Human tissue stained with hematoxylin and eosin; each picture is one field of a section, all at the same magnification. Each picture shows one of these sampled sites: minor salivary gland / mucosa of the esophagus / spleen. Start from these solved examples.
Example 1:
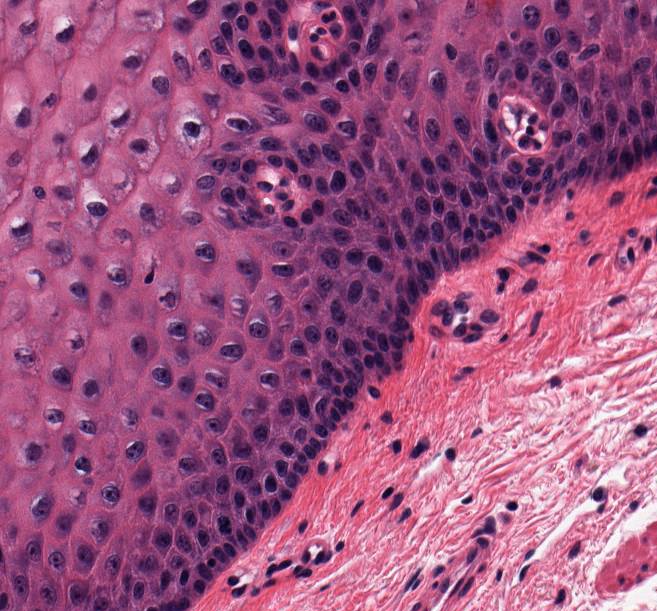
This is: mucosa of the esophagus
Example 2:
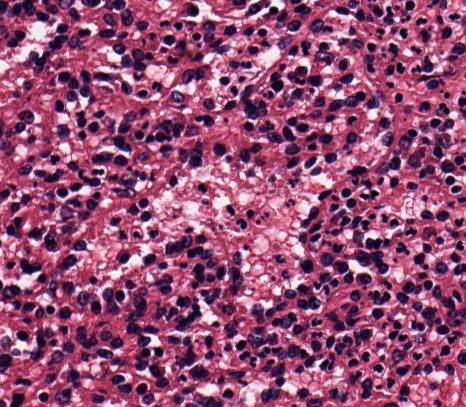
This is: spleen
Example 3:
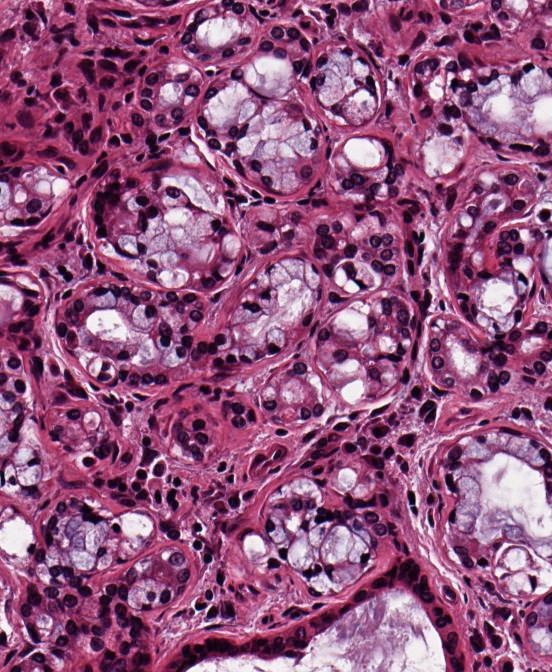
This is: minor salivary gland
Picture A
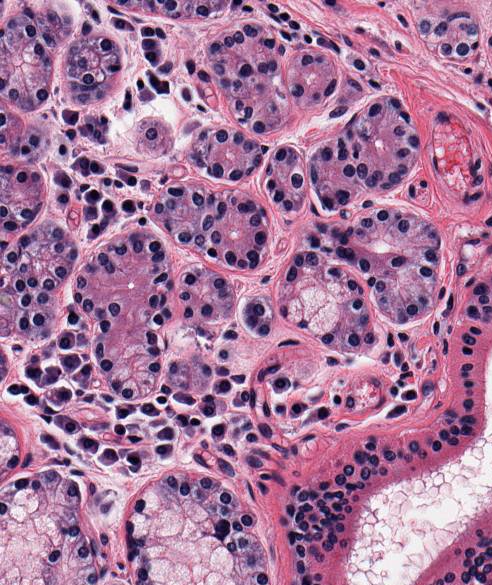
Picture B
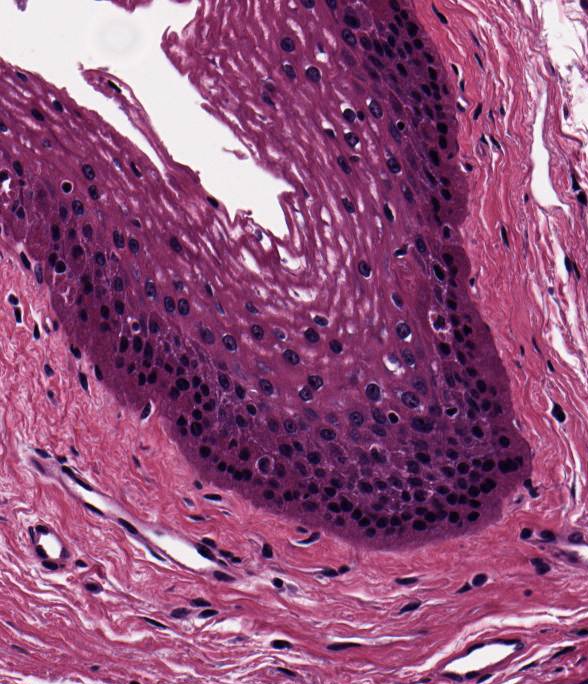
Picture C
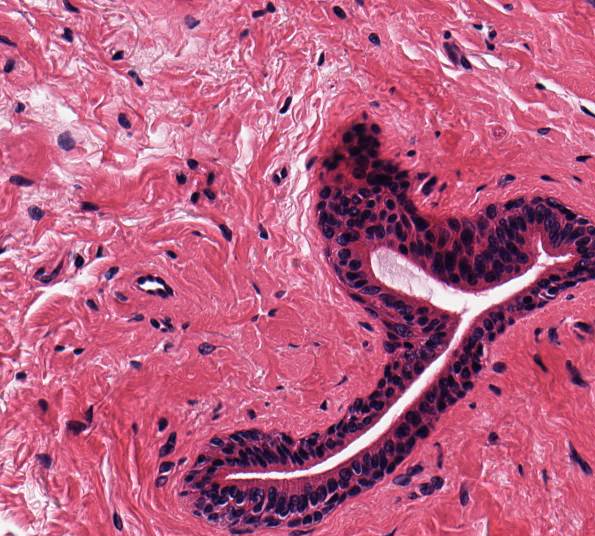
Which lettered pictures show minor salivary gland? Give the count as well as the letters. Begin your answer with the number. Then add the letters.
2: A, C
